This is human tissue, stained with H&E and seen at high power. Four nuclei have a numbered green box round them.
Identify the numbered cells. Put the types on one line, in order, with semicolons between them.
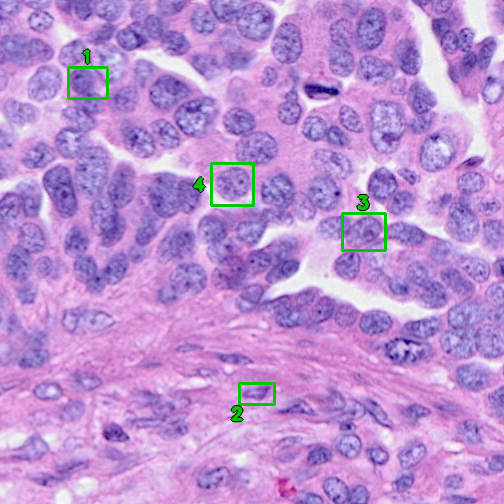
carcinoma cell; fibroblast; carcinoma cell; carcinoma cell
